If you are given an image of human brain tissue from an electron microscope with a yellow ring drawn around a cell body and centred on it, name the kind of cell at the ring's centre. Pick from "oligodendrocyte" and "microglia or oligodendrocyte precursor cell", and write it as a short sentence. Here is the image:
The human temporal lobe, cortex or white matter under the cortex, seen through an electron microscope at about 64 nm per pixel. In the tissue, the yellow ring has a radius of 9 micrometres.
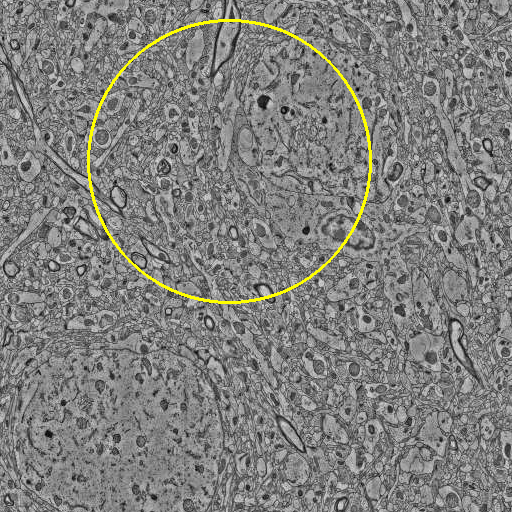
The cell at the ring's centre is a microglial cell or oligodendrocyte precursor cell.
